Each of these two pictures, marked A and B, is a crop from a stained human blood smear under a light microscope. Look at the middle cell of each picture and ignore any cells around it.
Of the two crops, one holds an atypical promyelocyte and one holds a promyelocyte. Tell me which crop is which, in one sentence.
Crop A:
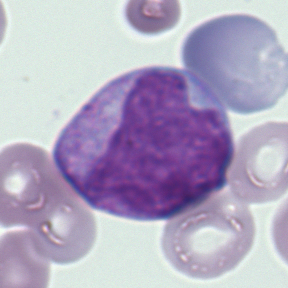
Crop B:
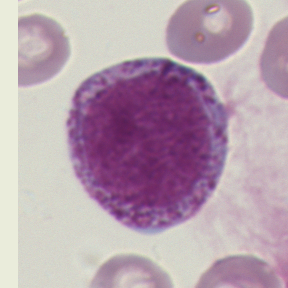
As for the pair, crop A is an atypical promyelocyte and crop B is a promyelocyte.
